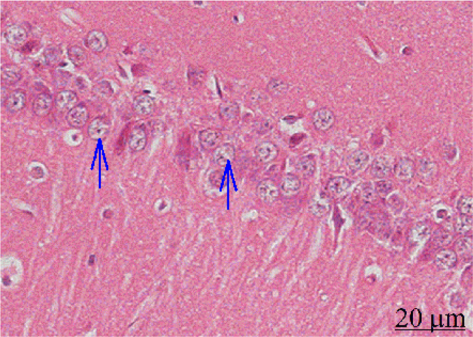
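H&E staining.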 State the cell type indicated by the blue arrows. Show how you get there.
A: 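Hippocampal neurons. Round cell bodies packed in a band. Large pale round nuclei with a distinct dark nucleolus.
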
